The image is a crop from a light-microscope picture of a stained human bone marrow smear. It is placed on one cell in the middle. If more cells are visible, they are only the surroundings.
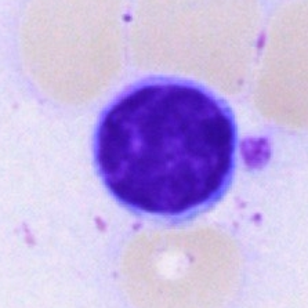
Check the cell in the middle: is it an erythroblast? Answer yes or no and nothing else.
no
